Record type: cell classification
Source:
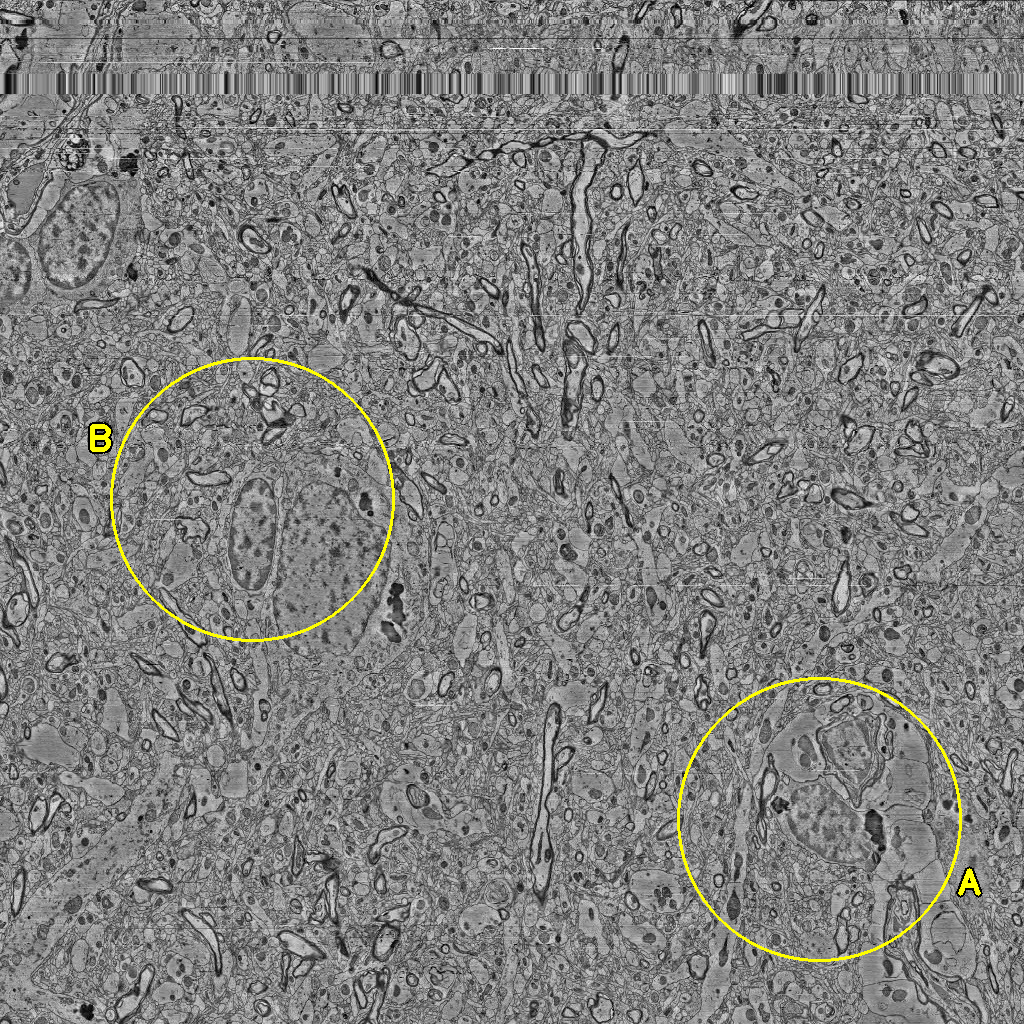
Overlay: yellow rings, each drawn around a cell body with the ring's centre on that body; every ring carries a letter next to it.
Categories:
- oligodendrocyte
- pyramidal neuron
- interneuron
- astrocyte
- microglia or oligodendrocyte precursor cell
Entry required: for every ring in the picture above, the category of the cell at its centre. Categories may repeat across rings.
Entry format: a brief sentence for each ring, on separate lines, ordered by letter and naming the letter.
At the centre of ring A lies an oligodendrocyte.
At the centre of ring B lies a microglial cell or oligodendrocyte precursor cell.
